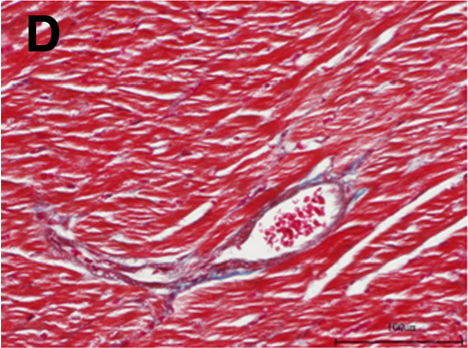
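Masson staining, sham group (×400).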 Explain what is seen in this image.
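This is heart muscle made of red-stained cardiomyocytes lying closely side by side in an orderly, parallel arrangement. A small blood vessel in the middle contains red blood cells in its lumen. A thin rim of bluish connective tissue surrounds the vessel and extends a short way between the muscle fibres.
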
